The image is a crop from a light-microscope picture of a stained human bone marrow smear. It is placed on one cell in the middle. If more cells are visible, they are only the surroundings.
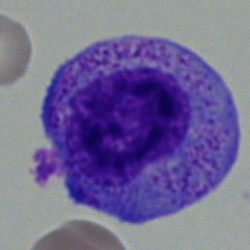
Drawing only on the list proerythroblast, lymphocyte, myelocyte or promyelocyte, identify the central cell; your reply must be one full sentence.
The middle position in this crop is taken by a promyelocyte.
